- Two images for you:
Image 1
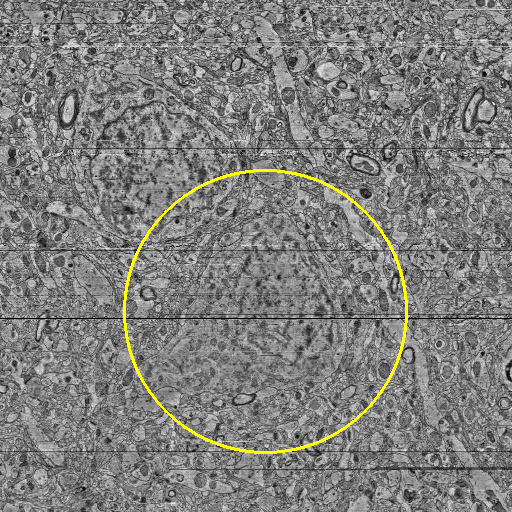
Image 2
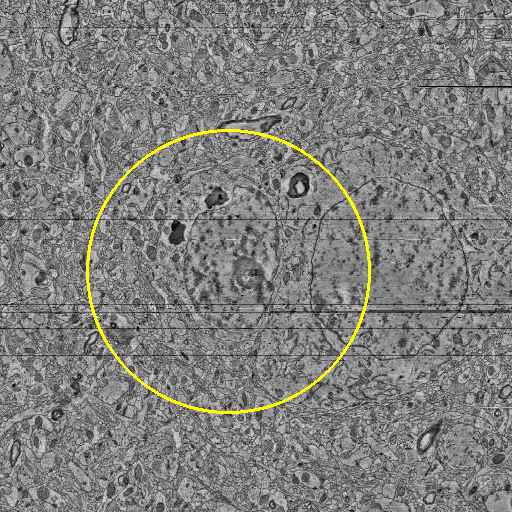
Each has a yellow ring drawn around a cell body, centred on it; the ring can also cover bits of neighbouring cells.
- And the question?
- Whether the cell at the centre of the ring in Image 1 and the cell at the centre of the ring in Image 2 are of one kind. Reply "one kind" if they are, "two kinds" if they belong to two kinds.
one kind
